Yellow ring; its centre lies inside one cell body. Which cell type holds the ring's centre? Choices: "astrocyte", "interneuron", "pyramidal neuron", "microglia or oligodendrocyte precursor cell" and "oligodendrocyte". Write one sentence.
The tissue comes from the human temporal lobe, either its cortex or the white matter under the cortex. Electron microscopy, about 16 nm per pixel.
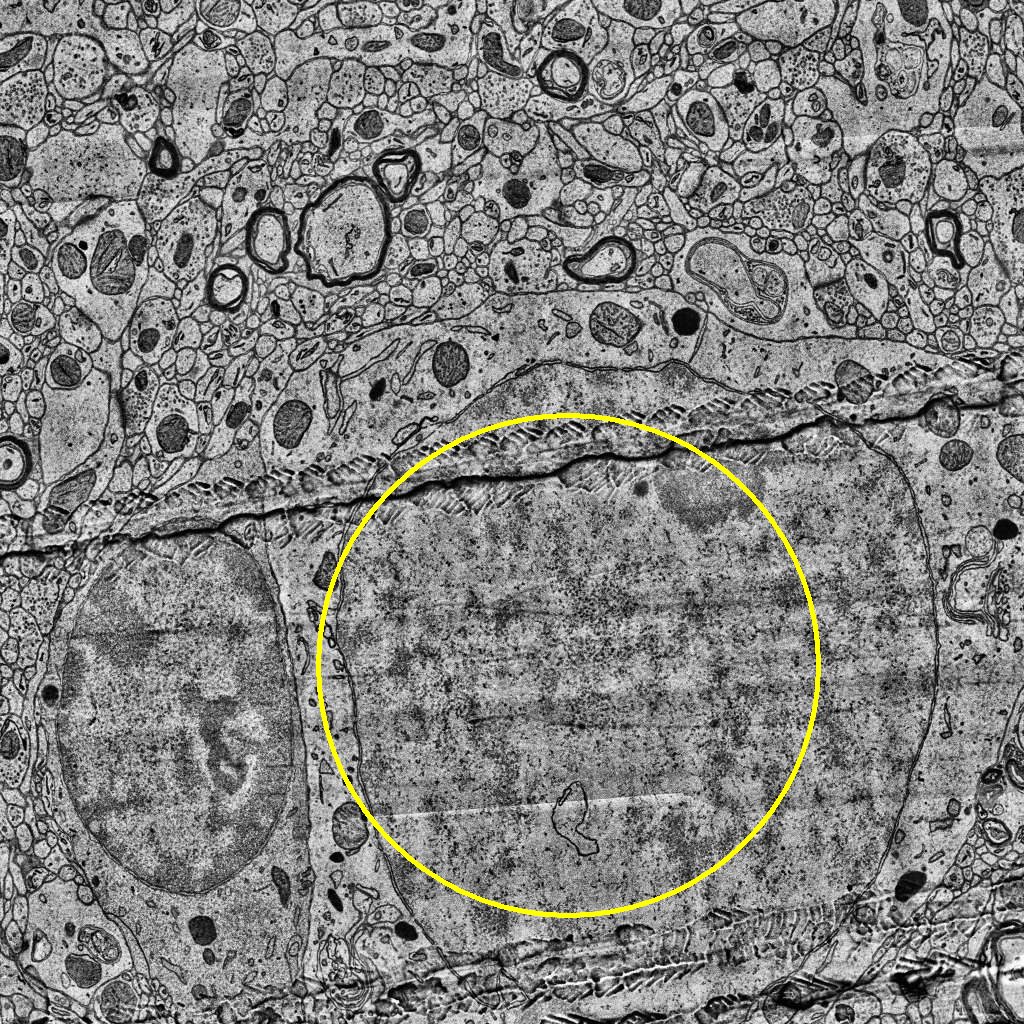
At the centre of the ring sits a pyramidal neuron.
